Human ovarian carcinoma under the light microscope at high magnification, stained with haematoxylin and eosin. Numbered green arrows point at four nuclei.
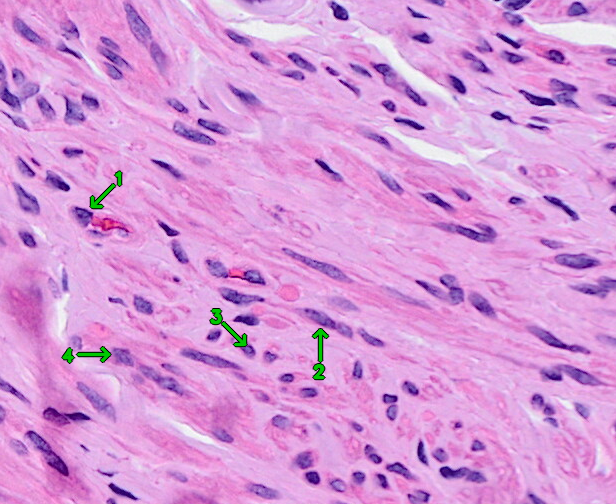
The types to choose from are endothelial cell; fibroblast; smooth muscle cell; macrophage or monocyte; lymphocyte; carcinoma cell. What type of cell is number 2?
smooth muscle cell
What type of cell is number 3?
smooth muscle cell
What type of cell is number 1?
endothelial cell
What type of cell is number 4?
smooth muscle cell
